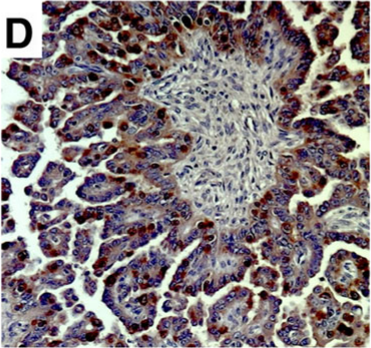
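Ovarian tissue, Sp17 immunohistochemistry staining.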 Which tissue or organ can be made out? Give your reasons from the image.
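Crowded epithelial cells form papillary fronds around a stromal core. Cells pile up in several layers with narrow spaces between fronds.
Serous adenocarcinoma.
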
